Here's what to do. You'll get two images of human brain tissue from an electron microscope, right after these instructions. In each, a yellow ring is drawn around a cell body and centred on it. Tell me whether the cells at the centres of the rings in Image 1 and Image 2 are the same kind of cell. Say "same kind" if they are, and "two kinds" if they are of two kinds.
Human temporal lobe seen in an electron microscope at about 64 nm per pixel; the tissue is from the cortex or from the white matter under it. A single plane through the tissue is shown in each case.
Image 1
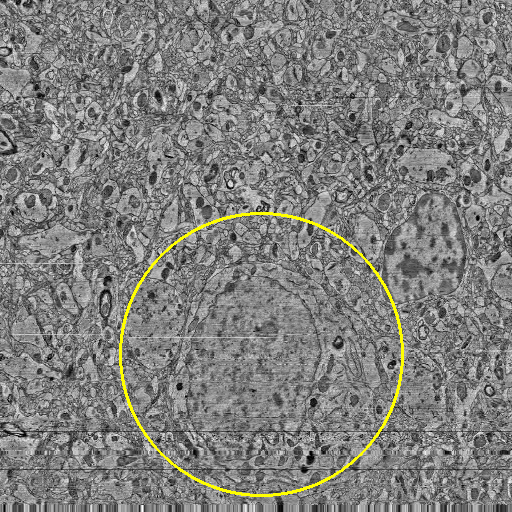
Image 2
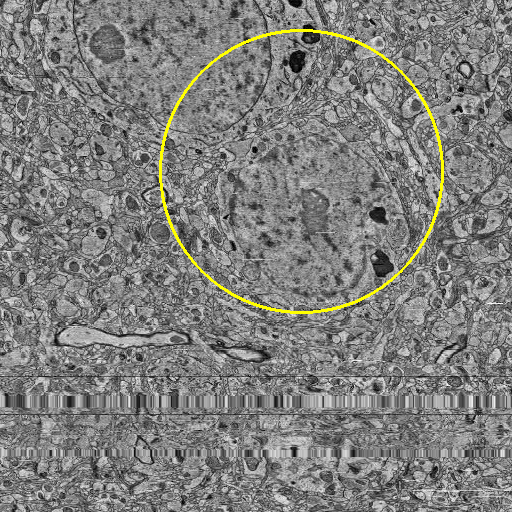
same kind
